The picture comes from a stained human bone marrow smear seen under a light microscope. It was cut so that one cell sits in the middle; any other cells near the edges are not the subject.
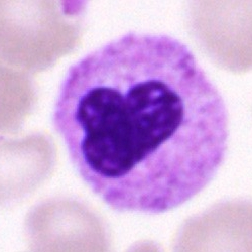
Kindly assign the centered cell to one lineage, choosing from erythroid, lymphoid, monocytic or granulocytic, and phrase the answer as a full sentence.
It is of the granulocytic lineage that the central cell is a member.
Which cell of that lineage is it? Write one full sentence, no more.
The central cell, amid any neighbouring cells, is a segmented neutrophil.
